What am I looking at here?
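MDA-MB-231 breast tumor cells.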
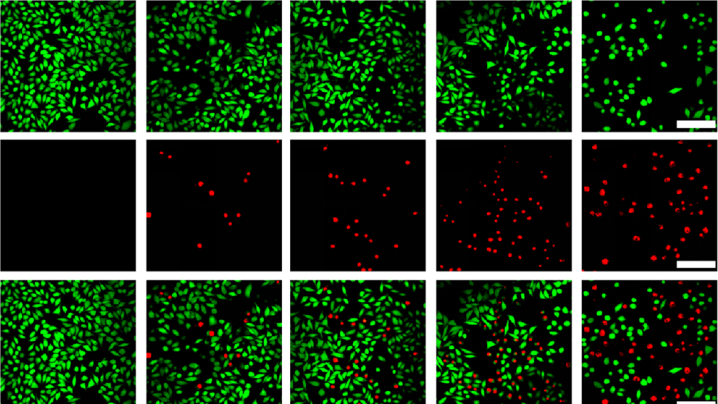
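In some frames the green cells lie densely packed, spindle-shaped to polygonal, evenly filling the field almost edge to edge. In other frames the green cells are sparser and more rounded. Small round red dots, smaller than the green cells, are scattered among them, few in some frames and many in others. Where red dots are numerous, fewer green cells remain and they look smaller and rounder, with gaps of empty dark background between them.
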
